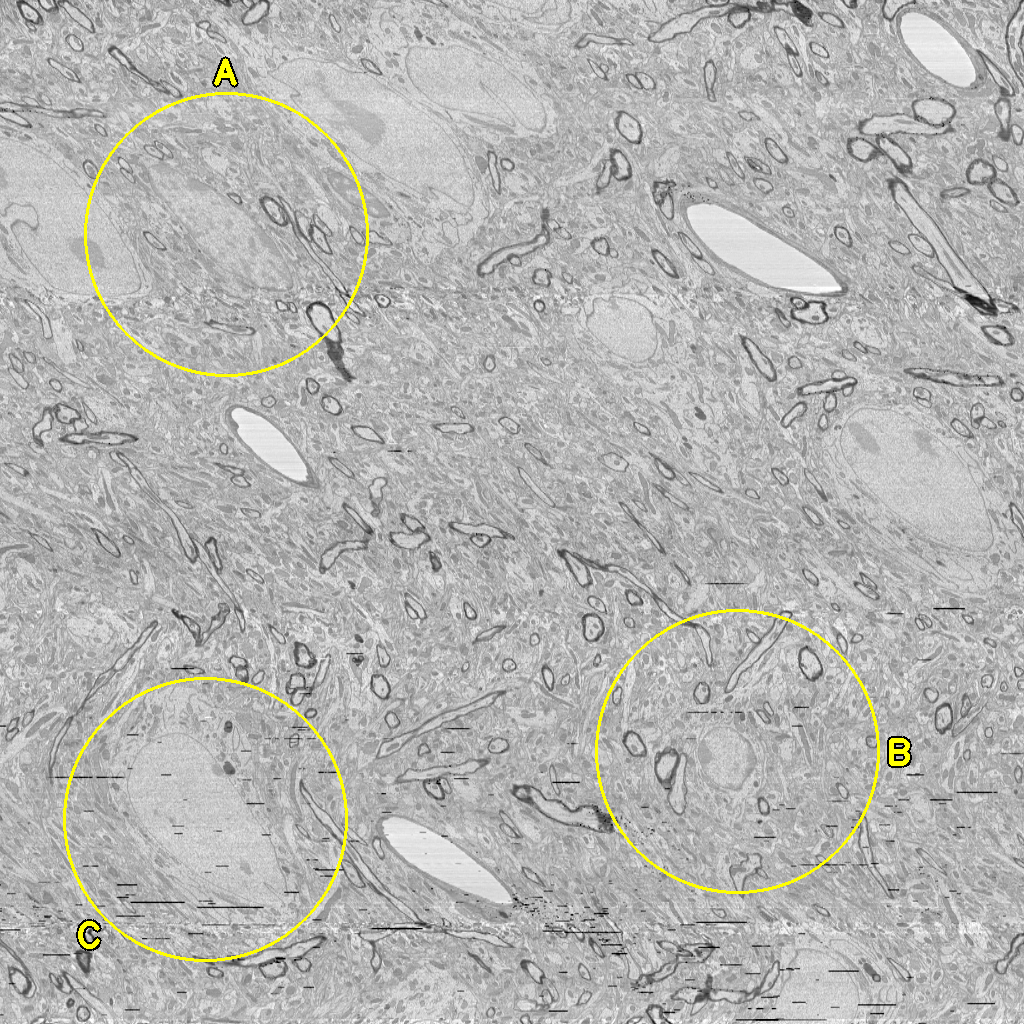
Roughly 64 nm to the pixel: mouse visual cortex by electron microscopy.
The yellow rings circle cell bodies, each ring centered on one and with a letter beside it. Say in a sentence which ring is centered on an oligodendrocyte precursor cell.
Ring B is centered on it.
